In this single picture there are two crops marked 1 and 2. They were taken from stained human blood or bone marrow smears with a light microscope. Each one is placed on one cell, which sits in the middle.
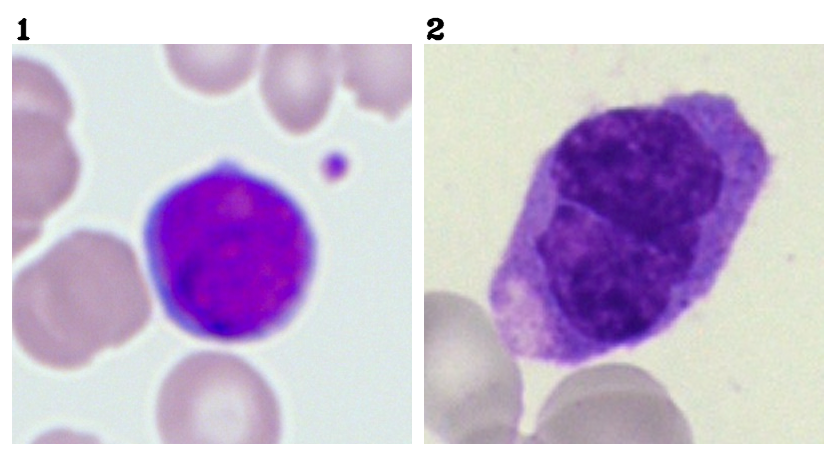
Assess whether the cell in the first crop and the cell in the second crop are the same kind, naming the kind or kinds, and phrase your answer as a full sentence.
No, on this set crop 1 shows a blast and crop 2 shows a monocyte.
